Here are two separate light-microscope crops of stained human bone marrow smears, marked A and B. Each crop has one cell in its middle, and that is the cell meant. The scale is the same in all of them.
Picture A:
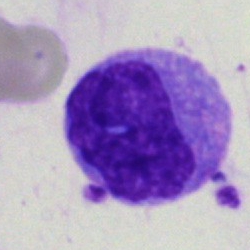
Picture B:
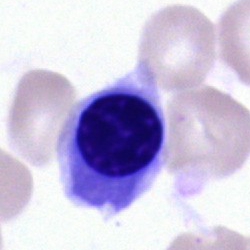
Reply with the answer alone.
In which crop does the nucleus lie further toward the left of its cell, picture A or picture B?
A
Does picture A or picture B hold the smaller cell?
B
